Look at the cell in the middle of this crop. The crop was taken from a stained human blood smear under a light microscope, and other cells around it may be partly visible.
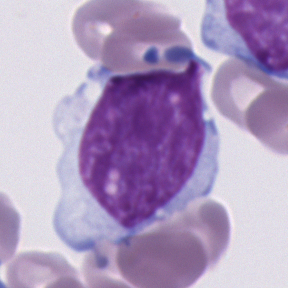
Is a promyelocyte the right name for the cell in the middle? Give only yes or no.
no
